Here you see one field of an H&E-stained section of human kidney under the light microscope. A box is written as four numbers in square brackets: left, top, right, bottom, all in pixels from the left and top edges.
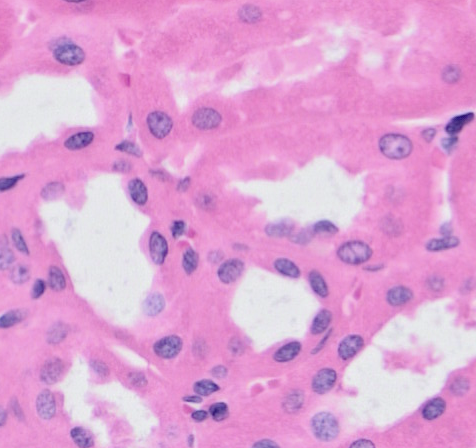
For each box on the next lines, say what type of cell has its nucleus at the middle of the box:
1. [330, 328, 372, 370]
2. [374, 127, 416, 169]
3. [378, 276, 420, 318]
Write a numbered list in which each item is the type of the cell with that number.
1. loop of Henle or distal tubule cell
2. proximal tubule cell
3. loop of Henle or distal tubule cell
